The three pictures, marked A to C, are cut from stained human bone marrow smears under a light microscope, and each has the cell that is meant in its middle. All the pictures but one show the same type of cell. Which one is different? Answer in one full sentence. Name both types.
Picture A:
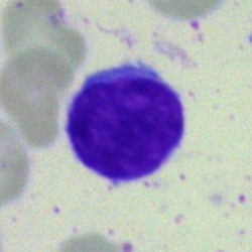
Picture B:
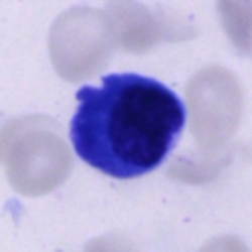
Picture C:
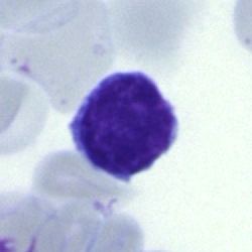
Unlike the rest, which show lymphocytes, picture B shows a plasma cell.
